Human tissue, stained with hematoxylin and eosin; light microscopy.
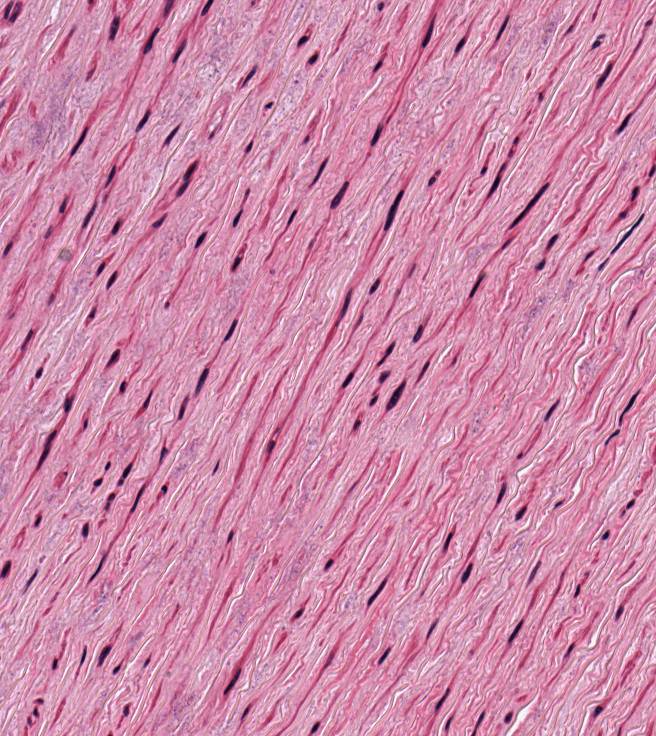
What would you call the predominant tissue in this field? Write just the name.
tunica media of an artery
